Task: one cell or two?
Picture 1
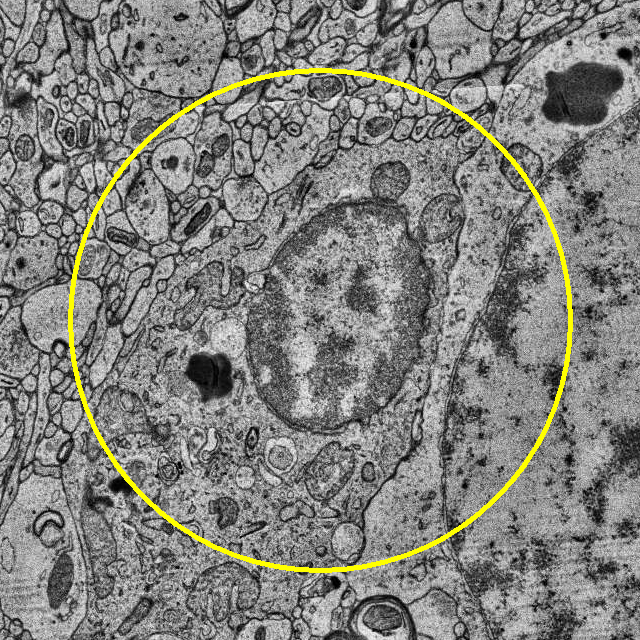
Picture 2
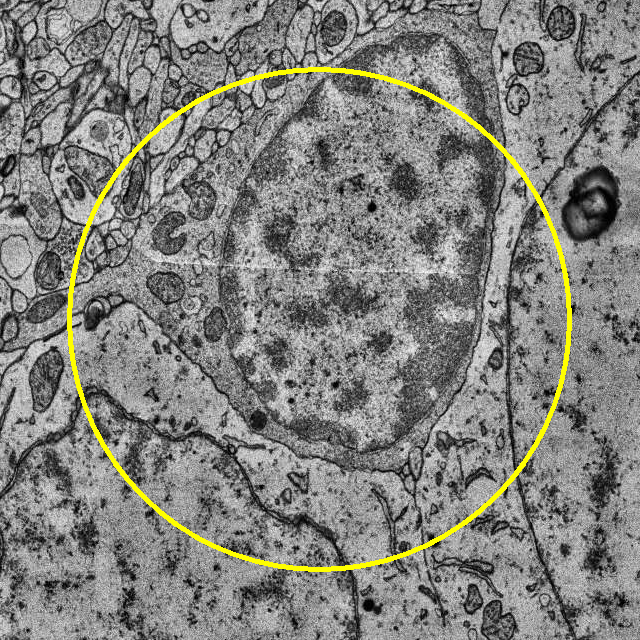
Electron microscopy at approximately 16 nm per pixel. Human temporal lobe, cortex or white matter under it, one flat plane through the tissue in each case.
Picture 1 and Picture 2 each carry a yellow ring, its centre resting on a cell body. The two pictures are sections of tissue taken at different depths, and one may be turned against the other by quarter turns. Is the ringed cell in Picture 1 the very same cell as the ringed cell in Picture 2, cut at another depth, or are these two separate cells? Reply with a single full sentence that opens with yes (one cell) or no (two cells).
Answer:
No, the rings mark two cells rather than a single cell.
